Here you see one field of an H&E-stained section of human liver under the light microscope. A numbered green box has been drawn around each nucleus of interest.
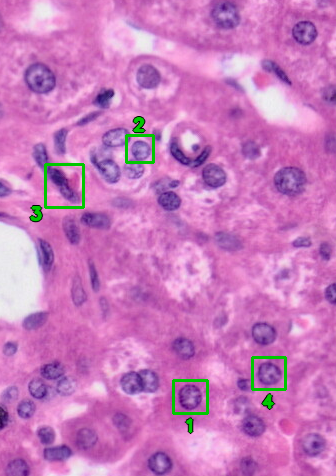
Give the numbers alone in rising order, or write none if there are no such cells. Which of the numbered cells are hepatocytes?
1, 4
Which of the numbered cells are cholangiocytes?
2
